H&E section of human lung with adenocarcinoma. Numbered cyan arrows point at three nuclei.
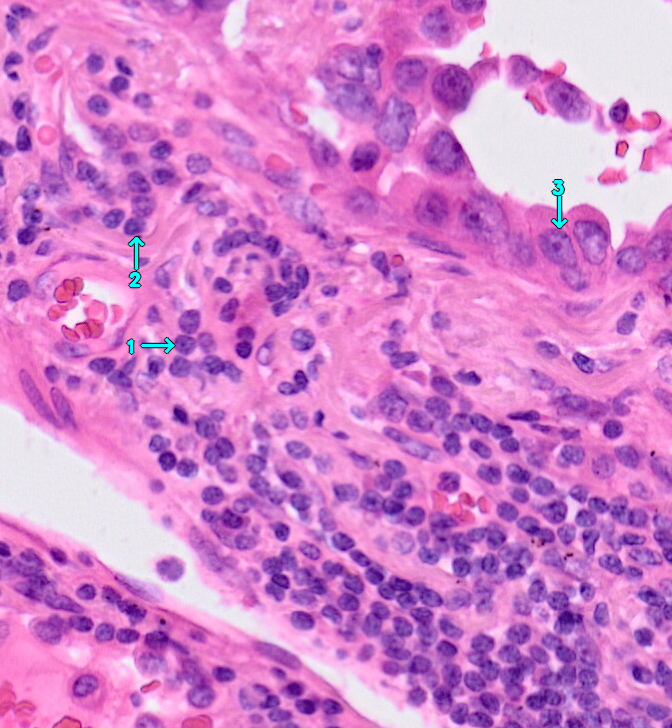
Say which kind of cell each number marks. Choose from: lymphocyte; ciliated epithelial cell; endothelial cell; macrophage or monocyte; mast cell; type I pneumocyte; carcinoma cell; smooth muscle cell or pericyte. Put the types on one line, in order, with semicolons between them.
lymphocyte; lymphocyte; carcinoma cell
